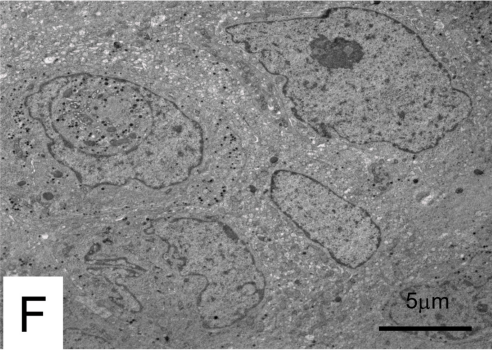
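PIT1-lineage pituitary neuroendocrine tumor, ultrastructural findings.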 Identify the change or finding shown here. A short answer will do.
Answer: Nuclear irregularity.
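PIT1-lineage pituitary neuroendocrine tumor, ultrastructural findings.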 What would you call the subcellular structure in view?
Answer: pseudonuclear inclusion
